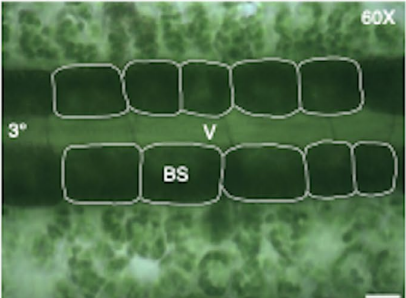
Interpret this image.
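The vein runs horizontally across the middle as a narrow, paler band. On each side of it lies a single file of large, roughly rectangular, dark green cells joined end to end, outlined in white. These cells are much larger than the surrounding cells and form a continuous sleeve parallel to the vein. Above and below them, mesophyll cells appear as rounded clusters of green chloroplasts arranged in ring-like patterns.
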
